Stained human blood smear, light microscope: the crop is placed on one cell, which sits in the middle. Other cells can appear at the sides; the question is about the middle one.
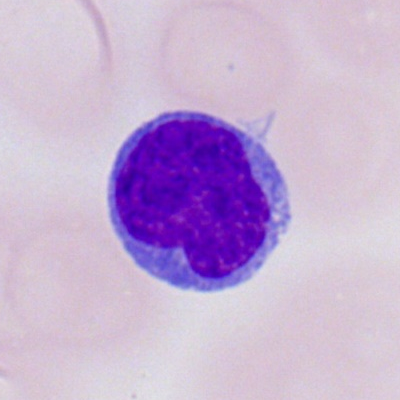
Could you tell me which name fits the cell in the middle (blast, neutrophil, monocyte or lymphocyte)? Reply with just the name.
lymphocyte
